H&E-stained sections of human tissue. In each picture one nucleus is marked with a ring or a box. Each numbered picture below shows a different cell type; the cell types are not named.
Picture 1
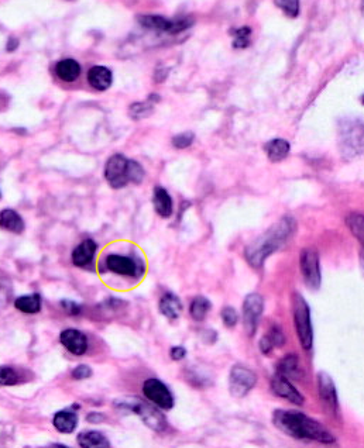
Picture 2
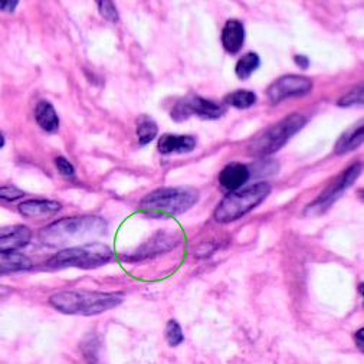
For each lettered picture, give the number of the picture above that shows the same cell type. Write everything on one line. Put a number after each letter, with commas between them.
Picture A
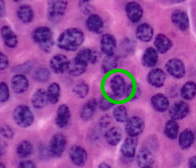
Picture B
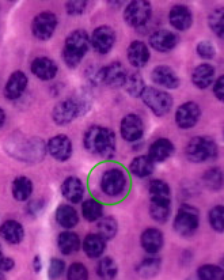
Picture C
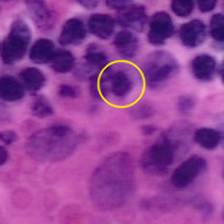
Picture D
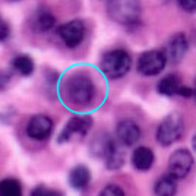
A 1, B 1, C 2, D 1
